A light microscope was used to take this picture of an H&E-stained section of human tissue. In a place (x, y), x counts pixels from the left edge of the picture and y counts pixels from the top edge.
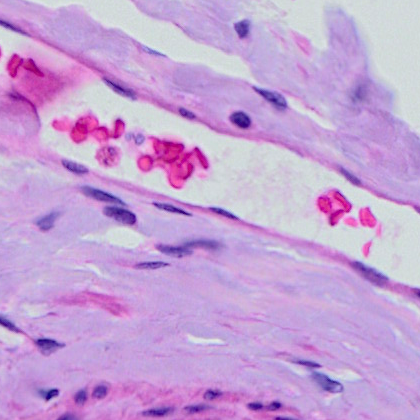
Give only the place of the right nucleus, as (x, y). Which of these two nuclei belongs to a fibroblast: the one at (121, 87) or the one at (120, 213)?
(120, 213)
